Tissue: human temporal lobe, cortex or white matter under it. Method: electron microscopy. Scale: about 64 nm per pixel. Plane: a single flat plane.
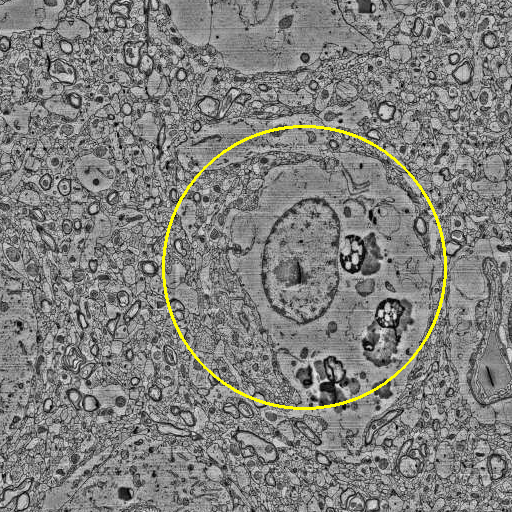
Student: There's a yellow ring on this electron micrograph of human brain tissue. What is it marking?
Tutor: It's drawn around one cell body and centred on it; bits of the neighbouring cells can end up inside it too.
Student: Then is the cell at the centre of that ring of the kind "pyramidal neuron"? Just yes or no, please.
no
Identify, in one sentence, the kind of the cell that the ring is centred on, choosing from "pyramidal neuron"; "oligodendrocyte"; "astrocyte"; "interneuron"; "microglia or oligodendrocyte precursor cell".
The cell at the ring centre is an astrocyte.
